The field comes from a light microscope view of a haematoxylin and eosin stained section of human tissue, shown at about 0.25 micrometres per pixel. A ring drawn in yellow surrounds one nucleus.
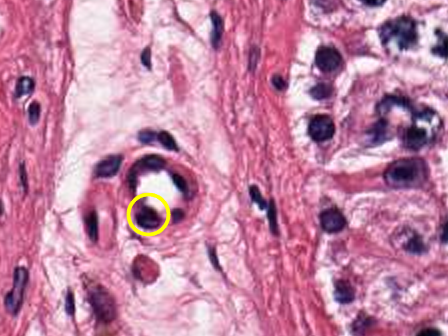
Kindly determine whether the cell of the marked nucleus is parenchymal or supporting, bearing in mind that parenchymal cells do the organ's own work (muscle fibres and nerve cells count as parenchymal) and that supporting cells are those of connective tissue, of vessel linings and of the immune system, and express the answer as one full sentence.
The marked nucleus is located within a supporting cell.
